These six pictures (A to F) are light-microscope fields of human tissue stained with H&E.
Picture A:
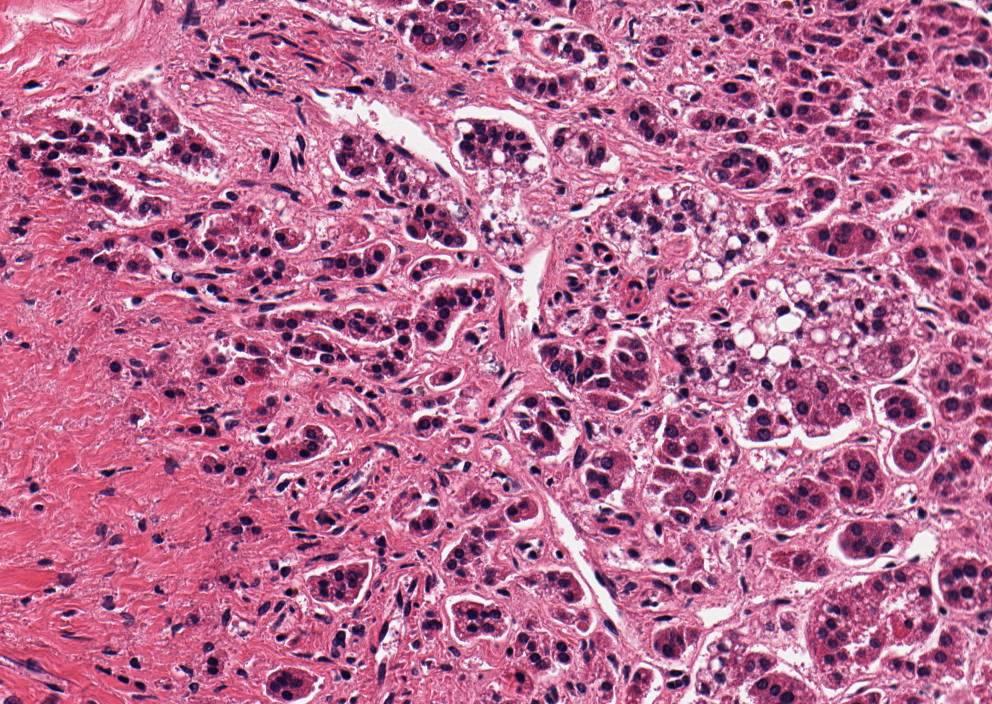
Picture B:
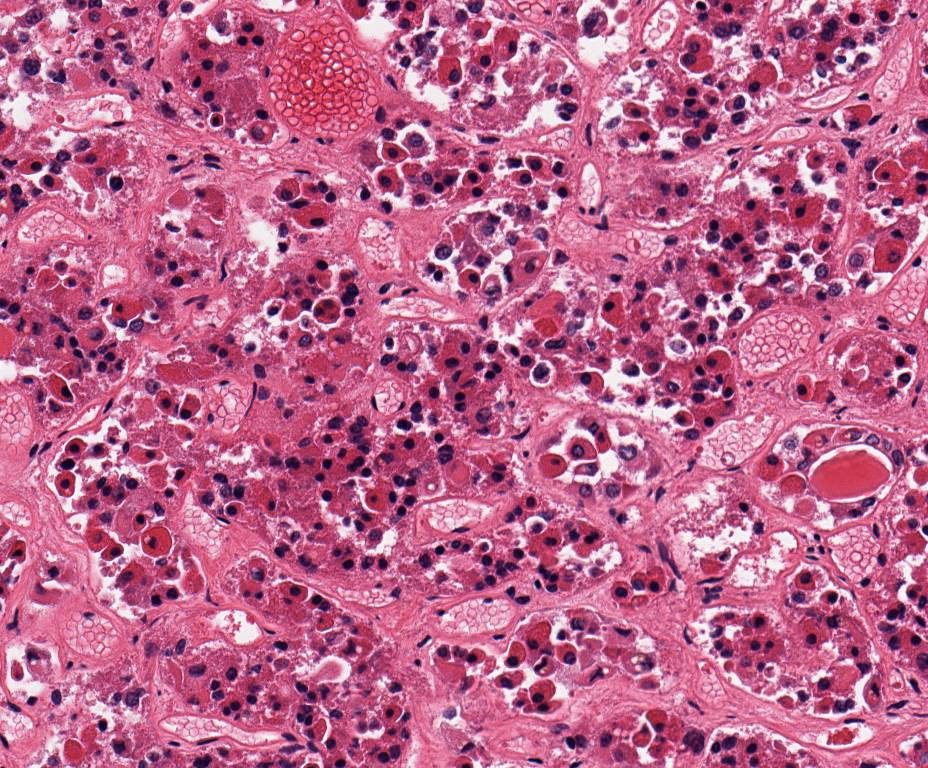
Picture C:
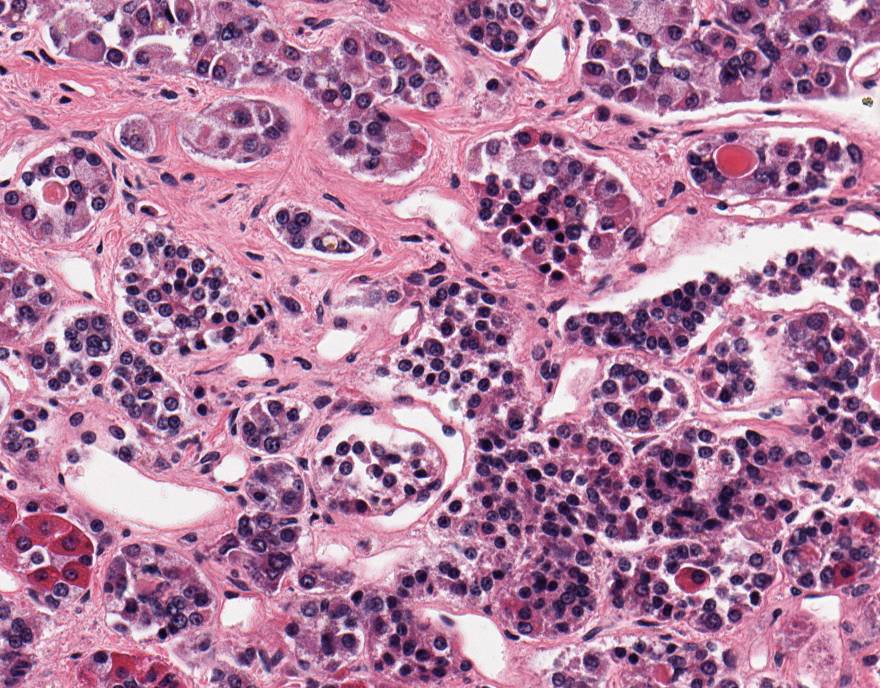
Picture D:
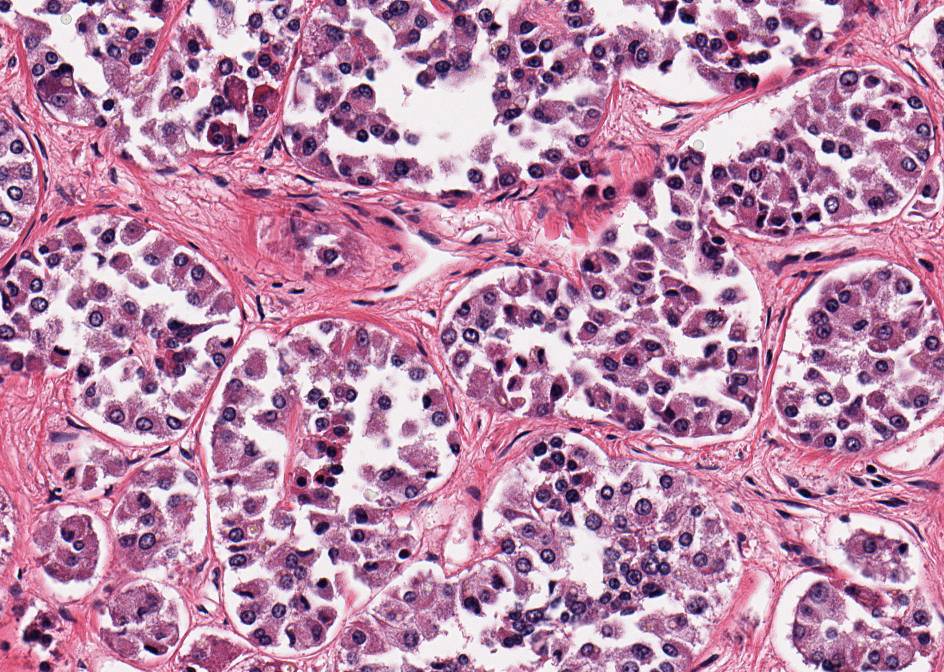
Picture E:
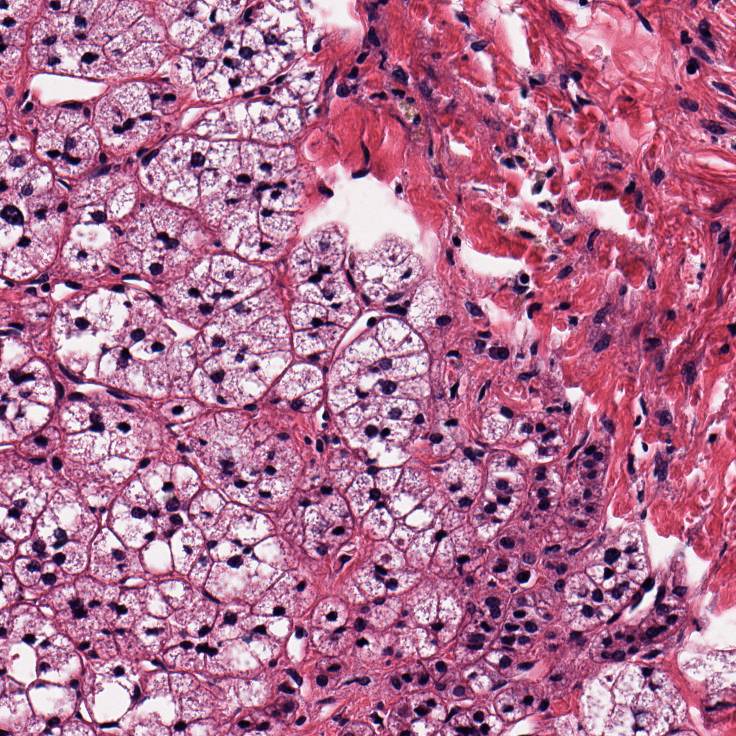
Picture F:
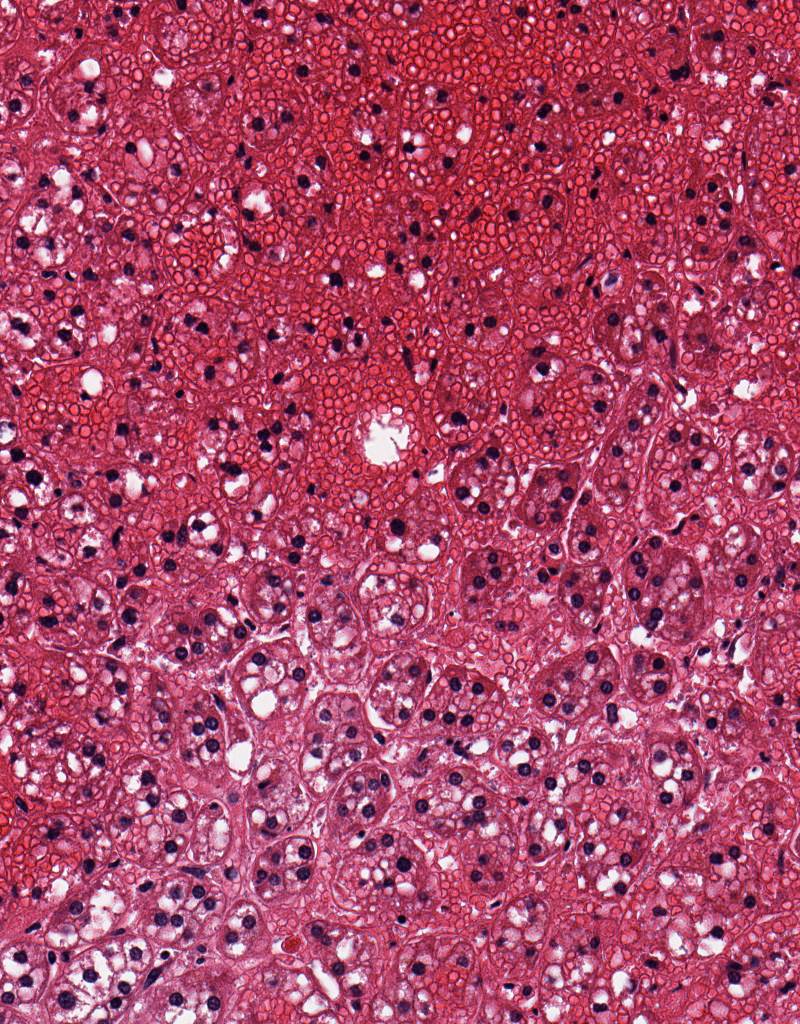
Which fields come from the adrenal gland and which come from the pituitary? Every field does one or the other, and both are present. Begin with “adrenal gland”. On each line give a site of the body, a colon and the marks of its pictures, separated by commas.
adrenal gland: A, E, F
pituitary: B, C, D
